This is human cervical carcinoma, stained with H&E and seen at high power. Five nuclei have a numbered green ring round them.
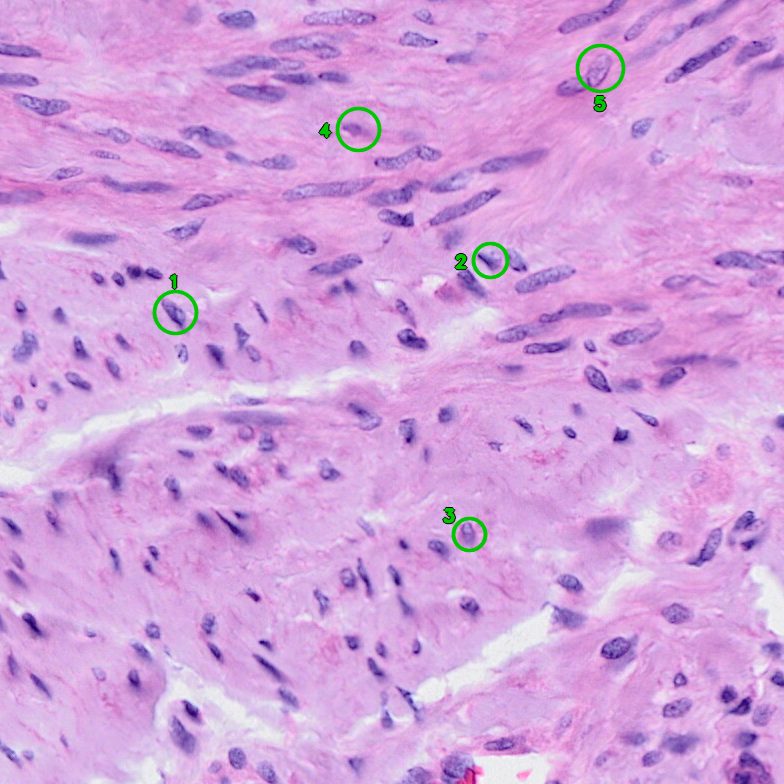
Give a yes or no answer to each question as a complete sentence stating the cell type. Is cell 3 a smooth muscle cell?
Yes, the cell with the mark numbered 3 is a smooth muscle cell.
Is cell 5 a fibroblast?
No, what number 5 shows is a smooth muscle cell, not a fibroblast.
